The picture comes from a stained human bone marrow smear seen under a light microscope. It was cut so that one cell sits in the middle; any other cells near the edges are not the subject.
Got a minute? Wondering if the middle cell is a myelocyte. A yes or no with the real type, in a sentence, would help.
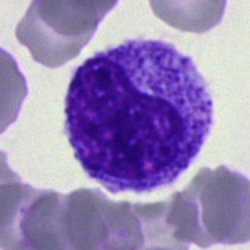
Yes, the one cell at the centre is a myelocyte.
